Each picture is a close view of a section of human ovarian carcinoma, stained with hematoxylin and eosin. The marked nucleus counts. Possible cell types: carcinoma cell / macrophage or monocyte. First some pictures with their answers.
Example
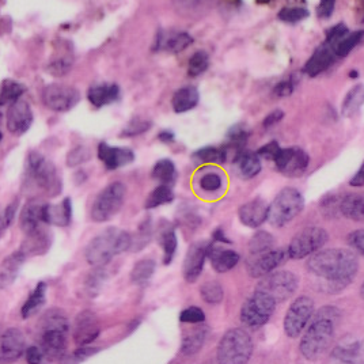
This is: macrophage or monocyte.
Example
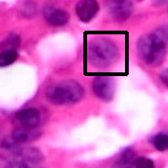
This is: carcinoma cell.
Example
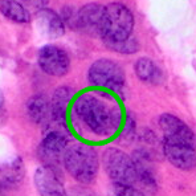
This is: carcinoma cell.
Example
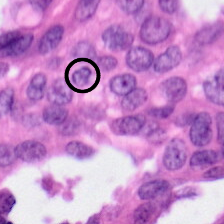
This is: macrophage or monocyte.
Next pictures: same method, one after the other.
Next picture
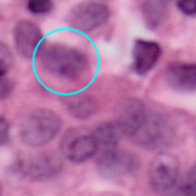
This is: carcinoma cell.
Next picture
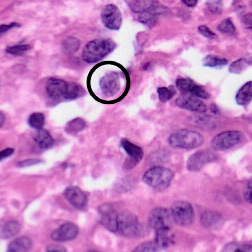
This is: carcinoma cell.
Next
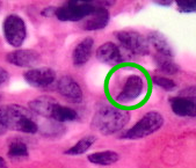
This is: carcinoma cell.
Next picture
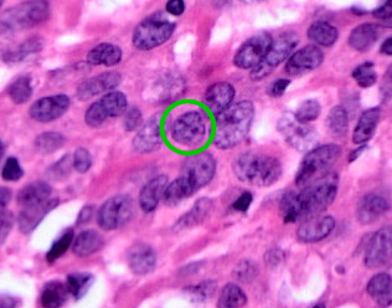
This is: carcinoma cell.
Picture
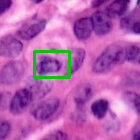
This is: macrophage or monocyte.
